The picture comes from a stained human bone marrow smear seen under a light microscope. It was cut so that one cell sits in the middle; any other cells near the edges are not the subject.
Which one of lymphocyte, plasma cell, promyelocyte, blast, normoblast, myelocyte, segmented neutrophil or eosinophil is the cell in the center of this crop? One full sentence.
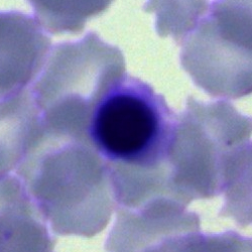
Classified as a normoblast is the cell in the middle of this crop.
